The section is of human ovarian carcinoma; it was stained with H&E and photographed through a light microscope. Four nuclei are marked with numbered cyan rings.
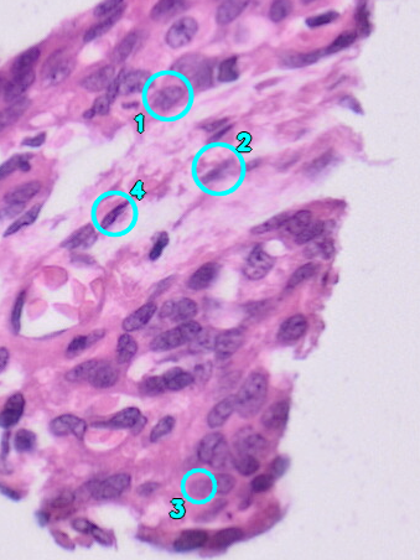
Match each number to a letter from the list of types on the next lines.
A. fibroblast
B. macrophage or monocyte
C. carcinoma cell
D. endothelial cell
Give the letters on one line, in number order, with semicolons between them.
C; A; C; A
